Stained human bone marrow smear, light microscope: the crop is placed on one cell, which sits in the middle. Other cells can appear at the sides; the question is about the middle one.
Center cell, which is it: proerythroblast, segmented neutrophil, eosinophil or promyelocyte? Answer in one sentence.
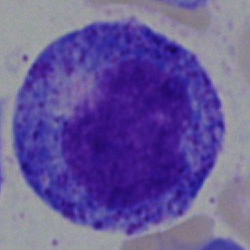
The cell of interest, located centrally, is a promyelocyte.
